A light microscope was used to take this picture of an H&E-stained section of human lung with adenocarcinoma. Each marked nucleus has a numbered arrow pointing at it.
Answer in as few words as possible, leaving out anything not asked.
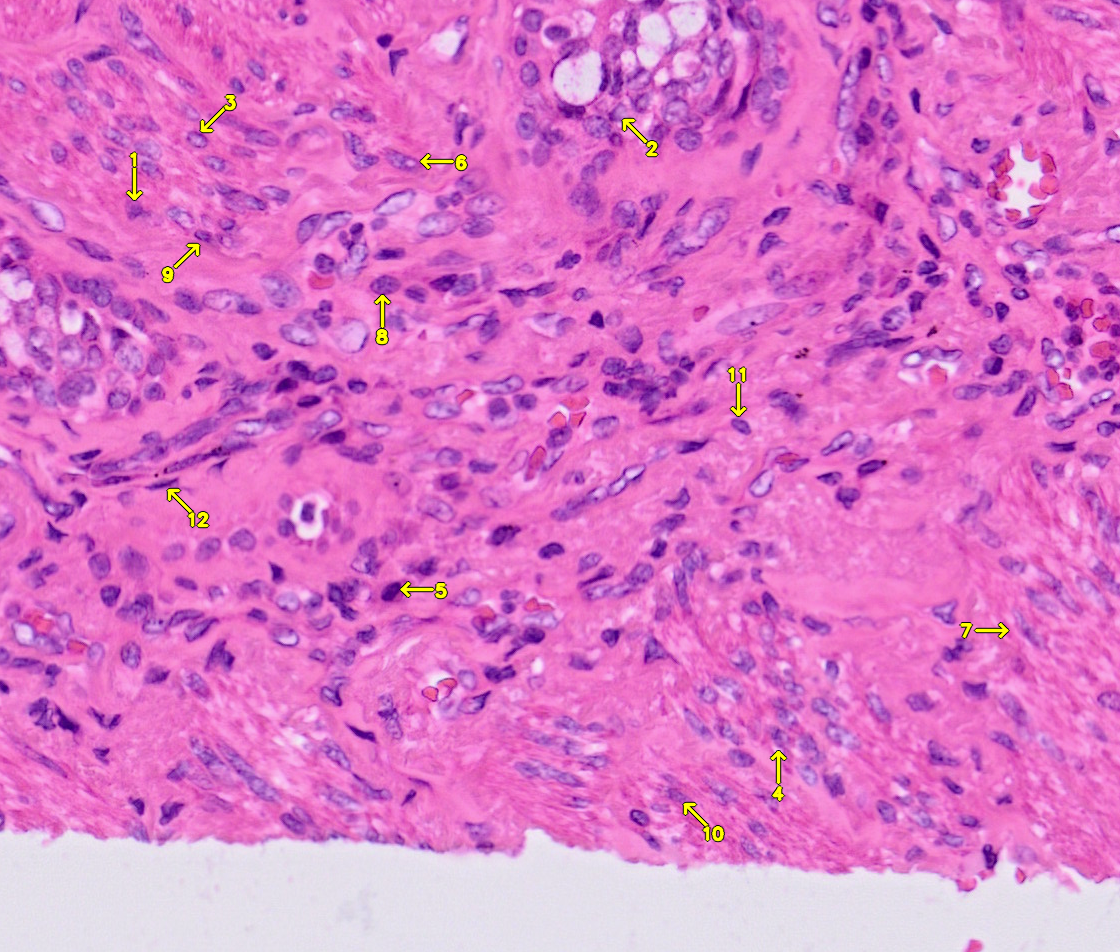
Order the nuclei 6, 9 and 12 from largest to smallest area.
6, 12, 9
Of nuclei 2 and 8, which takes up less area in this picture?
2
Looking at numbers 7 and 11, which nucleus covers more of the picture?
7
